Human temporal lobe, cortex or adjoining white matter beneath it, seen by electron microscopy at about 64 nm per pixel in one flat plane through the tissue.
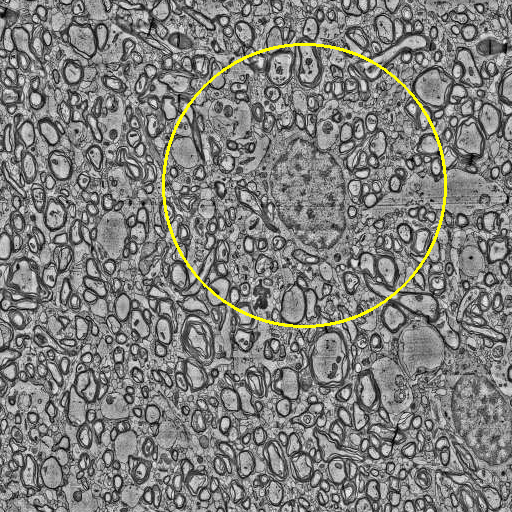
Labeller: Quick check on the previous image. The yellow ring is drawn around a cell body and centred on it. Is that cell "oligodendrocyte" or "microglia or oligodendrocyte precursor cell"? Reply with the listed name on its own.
oligodendrocyte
